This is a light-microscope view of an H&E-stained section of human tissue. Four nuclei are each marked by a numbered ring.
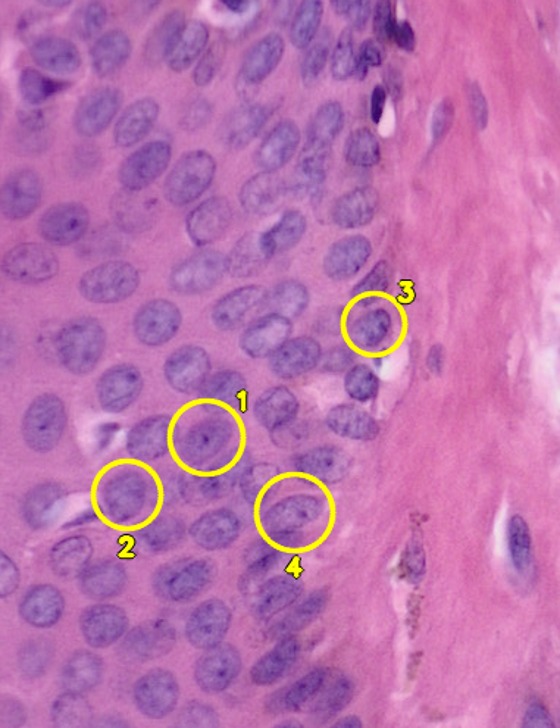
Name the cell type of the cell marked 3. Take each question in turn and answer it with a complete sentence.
In this section, number 3 marks a basal keratinocyte.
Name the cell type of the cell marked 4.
The cell identified by number 4 is a basal keratinocyte.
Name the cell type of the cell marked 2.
To a suprabasal keratinocyte belongs the nucleus marked 2.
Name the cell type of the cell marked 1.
In the marked set, the cell given number 1 is a suprabasal keratinocyte.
